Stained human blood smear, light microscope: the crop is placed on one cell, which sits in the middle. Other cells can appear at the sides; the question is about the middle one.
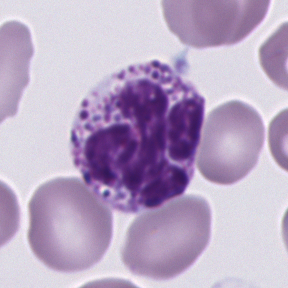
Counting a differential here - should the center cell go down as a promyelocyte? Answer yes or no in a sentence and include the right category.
No, the cell in the centre is to be called a basophil instead of a promyelocyte.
